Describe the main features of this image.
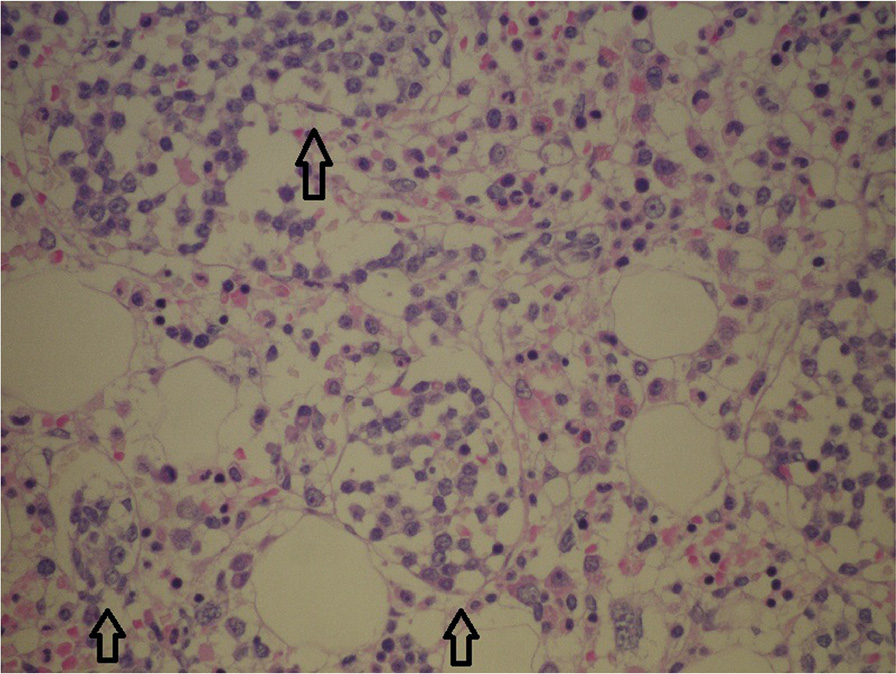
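Bone marrow with scattered large empty fat spaces, and a dense cellular infiltrate between them. Thin pink-walled, widened sinusoidal channels run among them and contain small round dark-nucleated cells and red blood cells.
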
